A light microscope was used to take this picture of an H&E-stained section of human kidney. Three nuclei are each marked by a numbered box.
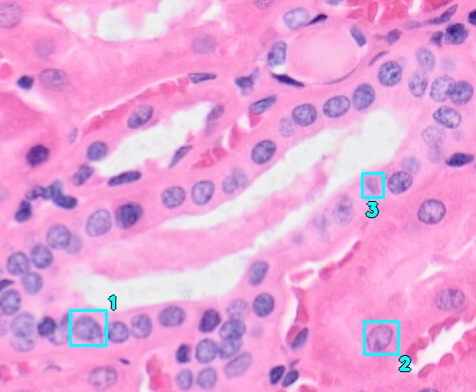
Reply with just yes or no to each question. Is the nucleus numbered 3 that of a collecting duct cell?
yes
